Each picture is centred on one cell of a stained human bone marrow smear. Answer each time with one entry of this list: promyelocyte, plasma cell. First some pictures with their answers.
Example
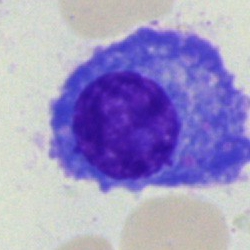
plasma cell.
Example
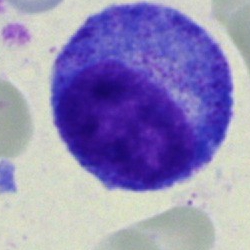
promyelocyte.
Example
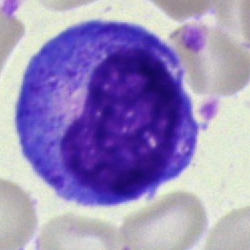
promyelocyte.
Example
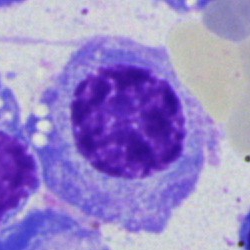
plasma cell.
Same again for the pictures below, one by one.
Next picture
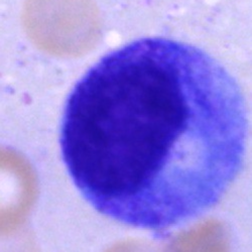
promyelocyte.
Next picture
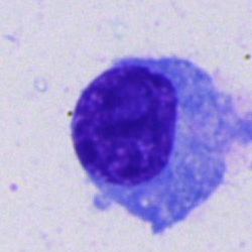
plasma cell.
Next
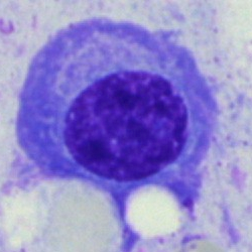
plasma cell.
